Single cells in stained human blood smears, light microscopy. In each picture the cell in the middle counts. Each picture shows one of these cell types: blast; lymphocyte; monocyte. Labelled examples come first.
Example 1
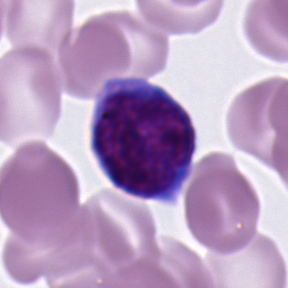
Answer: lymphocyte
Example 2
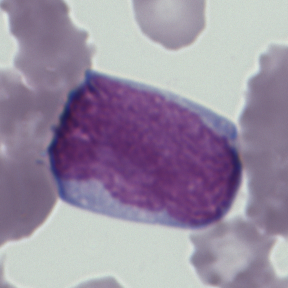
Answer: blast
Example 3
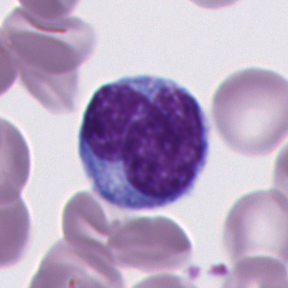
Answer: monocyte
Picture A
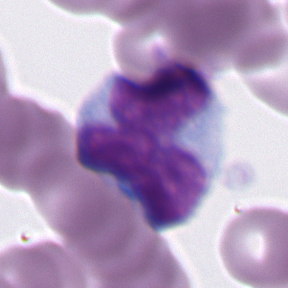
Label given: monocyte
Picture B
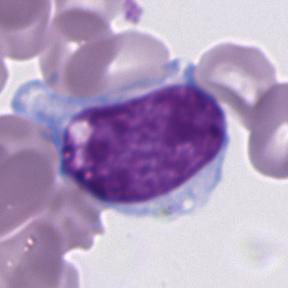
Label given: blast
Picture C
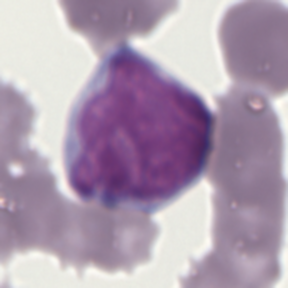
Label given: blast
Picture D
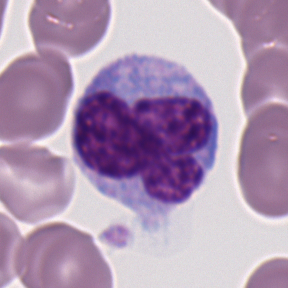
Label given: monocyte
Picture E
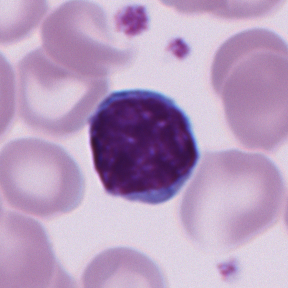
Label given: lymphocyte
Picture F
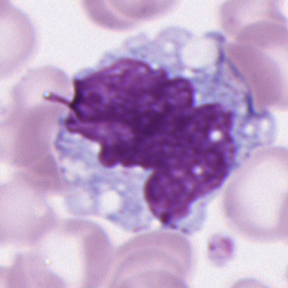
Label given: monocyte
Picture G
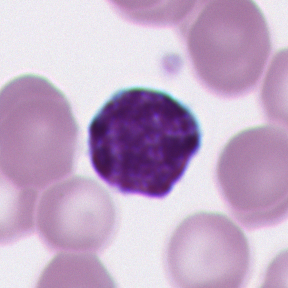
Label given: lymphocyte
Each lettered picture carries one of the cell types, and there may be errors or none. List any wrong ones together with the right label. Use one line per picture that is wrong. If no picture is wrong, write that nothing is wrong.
Nothing to fix; every label fits.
